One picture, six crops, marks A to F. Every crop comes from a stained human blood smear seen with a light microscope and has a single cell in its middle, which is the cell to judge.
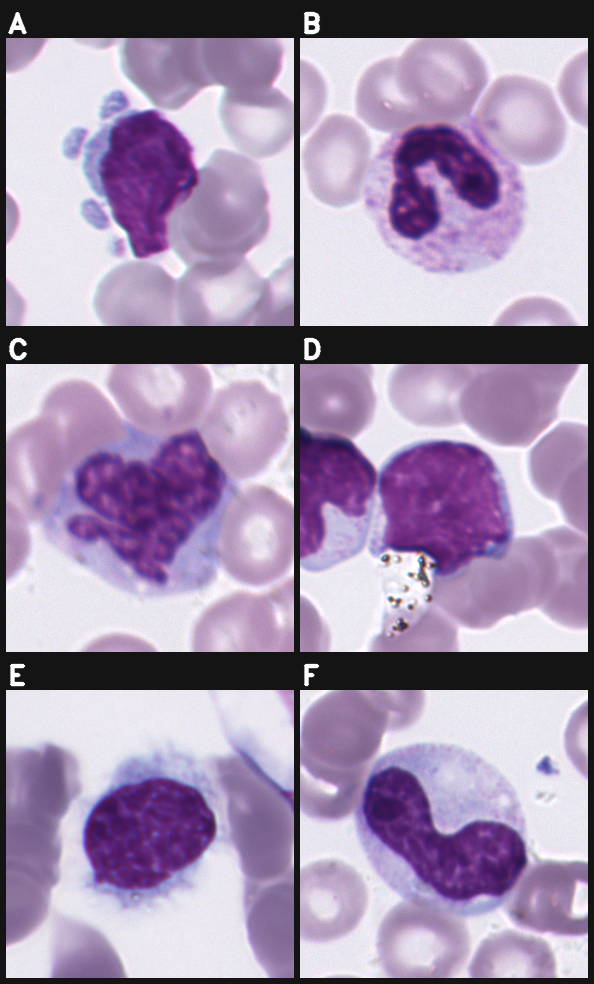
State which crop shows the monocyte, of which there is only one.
C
